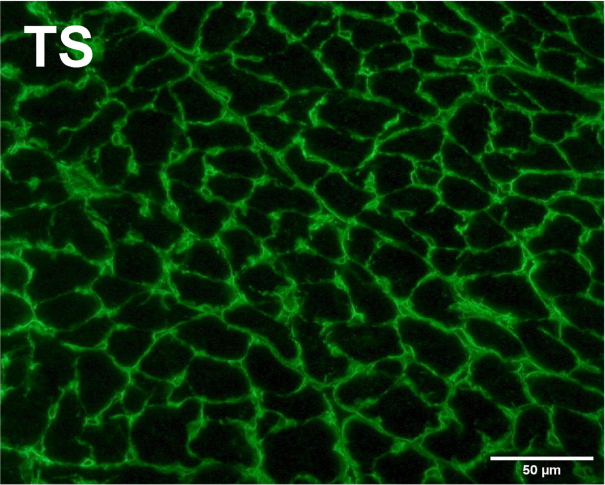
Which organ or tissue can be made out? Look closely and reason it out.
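Heart. Tightly packed polygonal fibre profiles in cross-section. Thin green outlines with little space between fibres. Fine green rings and strands lie in the narrow spaces between fibres.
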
